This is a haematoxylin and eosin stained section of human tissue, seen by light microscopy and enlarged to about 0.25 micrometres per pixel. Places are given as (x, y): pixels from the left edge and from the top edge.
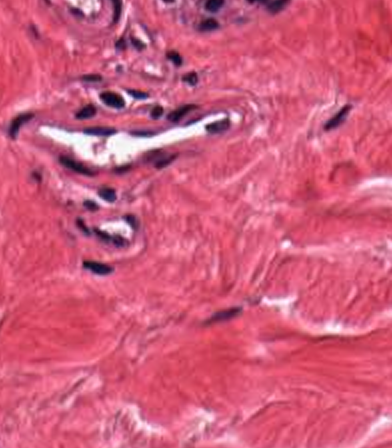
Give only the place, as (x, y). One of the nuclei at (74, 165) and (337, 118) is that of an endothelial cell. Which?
(74, 165)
